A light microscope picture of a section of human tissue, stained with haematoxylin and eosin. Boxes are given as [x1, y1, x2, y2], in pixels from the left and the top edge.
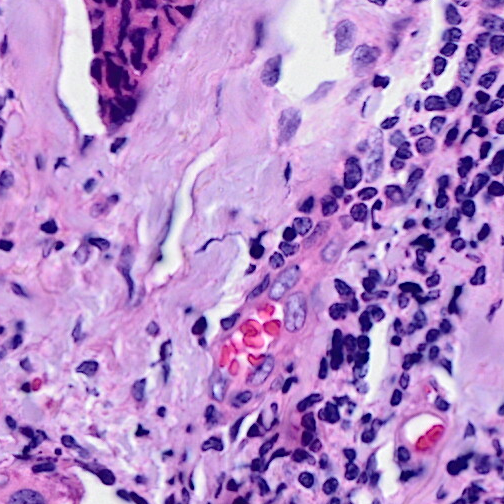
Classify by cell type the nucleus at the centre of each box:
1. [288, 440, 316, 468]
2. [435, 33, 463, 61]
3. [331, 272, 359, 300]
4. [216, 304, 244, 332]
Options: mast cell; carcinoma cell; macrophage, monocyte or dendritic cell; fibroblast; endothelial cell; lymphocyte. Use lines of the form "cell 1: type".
cell 1: lymphocyte
cell 2: lymphocyte
cell 3: lymphocyte
cell 4: endothelial cell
